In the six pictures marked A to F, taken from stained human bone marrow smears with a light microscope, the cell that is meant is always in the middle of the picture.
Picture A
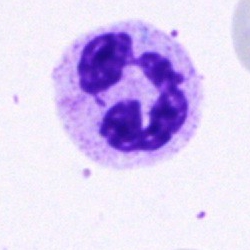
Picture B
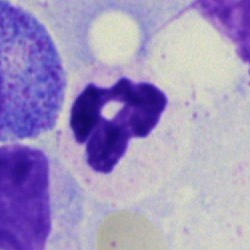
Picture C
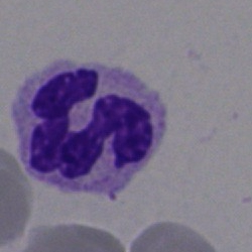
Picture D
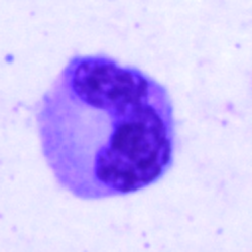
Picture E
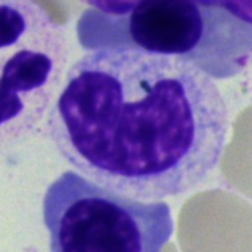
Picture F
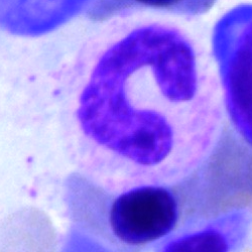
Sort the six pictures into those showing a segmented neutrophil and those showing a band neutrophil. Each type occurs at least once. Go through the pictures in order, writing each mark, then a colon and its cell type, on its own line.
A: segmented neutrophil
B: segmented neutrophil
C: segmented neutrophil
D: band neutrophil
E: band neutrophil
F: band neutrophil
